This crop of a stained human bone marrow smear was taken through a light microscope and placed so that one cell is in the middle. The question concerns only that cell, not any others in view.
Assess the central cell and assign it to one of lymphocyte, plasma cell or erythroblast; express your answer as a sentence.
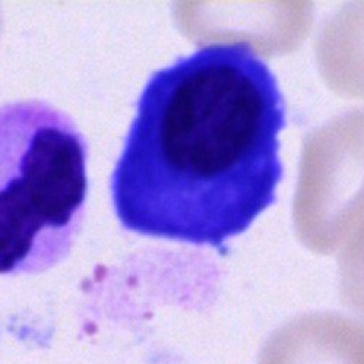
What the crop centres on is a plasma cell.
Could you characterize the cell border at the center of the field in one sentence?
As for its outline, the cell is irregular, ragged or drawn into projections.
